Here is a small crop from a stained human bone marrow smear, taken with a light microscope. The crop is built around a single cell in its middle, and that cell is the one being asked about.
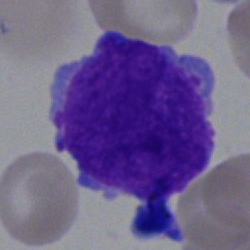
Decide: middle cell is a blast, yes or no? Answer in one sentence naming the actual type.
Yes, the cell lying in the centre of the crop is identified as a blast.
